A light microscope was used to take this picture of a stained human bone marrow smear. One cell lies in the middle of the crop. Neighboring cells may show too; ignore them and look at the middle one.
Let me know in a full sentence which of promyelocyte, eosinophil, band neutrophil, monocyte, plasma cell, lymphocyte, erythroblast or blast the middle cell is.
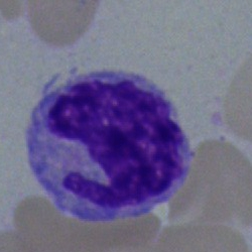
The cell at the middle of the crop is recognized as a monocyte.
